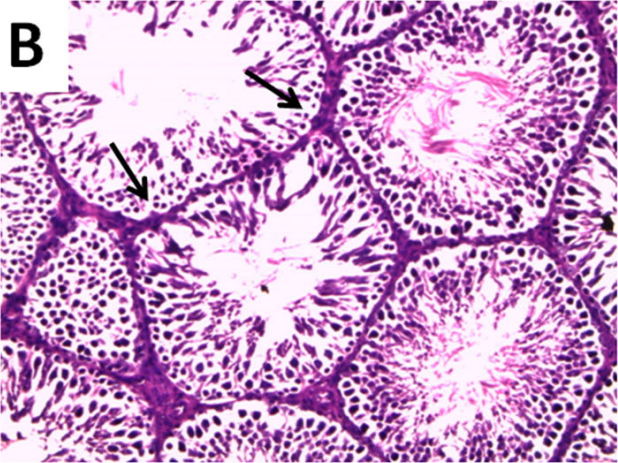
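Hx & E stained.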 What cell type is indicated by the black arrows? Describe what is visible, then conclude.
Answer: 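The arrows point at cells in the outermost layer of a tubule, against its wall. These cells sit at the base of layered germ cells that stretch toward a central lumen. The answer: spermatogonia.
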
